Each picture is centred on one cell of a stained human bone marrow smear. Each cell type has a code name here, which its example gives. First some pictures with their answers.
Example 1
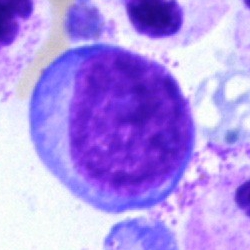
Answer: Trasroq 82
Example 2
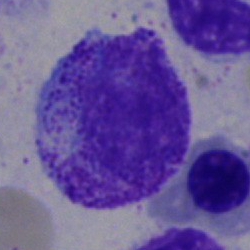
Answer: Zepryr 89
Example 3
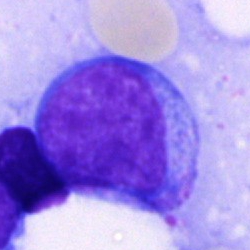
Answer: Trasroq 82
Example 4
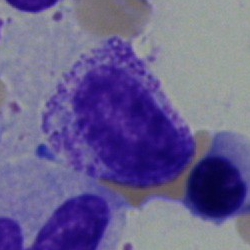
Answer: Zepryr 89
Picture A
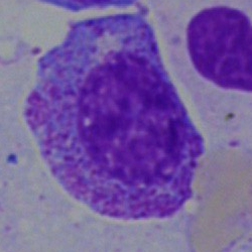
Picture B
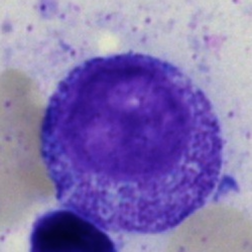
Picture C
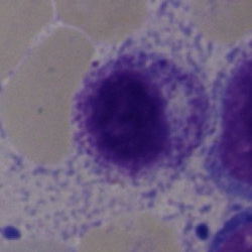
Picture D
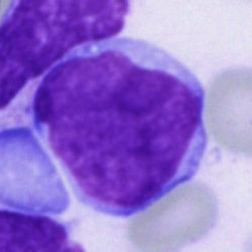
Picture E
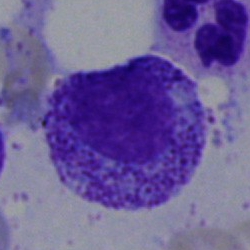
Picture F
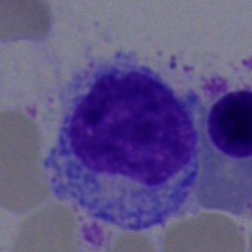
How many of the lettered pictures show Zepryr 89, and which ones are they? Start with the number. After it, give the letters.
Count: 5 (A, B, C, E, F)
